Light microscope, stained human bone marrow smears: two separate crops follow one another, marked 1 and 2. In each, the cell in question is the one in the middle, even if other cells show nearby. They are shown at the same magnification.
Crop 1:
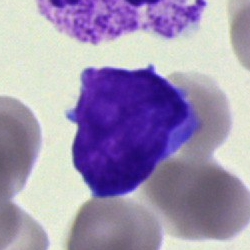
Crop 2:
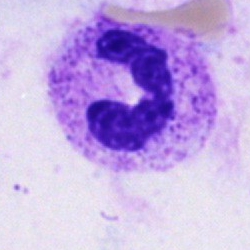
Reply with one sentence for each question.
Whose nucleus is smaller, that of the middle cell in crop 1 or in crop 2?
Crop 2 shows the smaller nucleus, since that in crop 1 covers about 1.5 times as much area.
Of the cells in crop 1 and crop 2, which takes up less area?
Crop 1 holds the smaller cell, since the cell in crop 2 covers about 1.5 times as much area.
